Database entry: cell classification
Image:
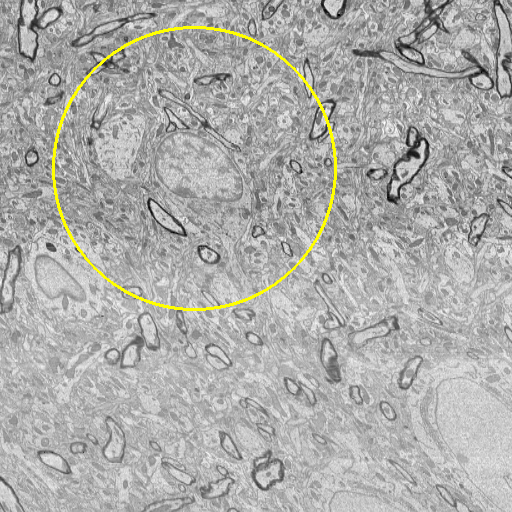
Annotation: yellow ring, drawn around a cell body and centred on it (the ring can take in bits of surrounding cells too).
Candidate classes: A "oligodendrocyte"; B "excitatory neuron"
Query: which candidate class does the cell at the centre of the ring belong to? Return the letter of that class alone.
A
